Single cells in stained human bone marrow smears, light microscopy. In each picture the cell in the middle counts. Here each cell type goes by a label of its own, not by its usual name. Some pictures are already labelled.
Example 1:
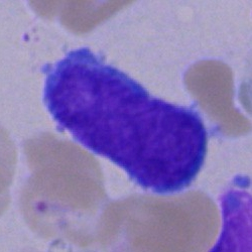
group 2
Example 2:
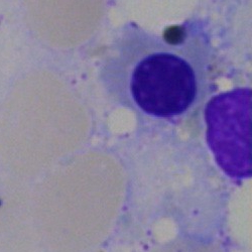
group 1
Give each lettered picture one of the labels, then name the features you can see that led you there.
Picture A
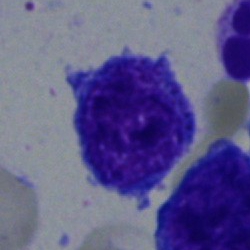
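Label: group 2. The chromatin looks finely stippled rather than clumped.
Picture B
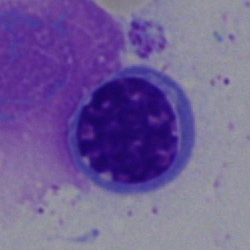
Label: group 1. The chromatin forms coarse dark clumps separated by small paler patches.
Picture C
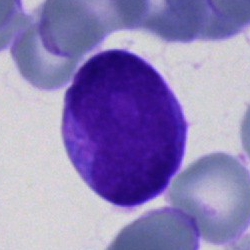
Label: group 2. The chromatin looks fine and evenly spread rather than clumped.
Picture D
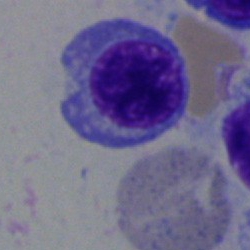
Label: group 1. The chromatin is dark purple and coarsely clumped, with lighter patches between the clumps.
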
